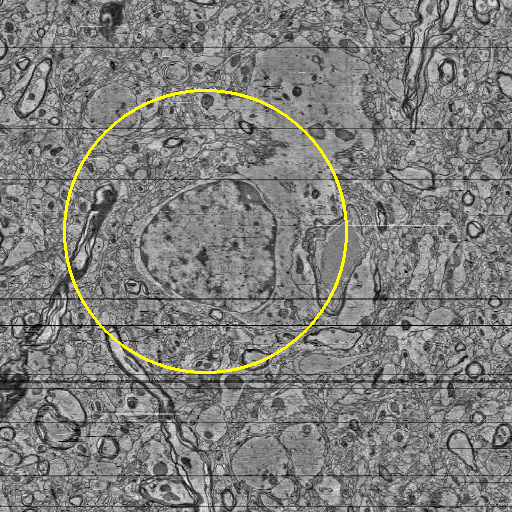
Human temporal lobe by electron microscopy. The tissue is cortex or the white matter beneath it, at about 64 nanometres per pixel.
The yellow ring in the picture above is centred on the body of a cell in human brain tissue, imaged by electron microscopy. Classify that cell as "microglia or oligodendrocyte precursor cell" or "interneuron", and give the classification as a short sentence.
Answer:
The cell in the middle of the ring is a microglial cell or oligodendrocyte precursor cell.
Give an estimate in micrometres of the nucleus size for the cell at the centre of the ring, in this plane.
About 9 micrometres across, as seen in this plane.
